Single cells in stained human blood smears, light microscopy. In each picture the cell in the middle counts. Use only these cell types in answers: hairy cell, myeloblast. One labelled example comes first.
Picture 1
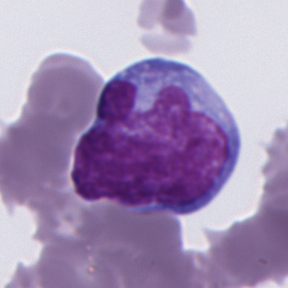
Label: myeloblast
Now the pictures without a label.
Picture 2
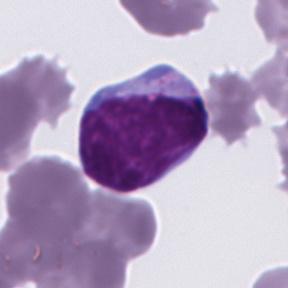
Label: myeloblast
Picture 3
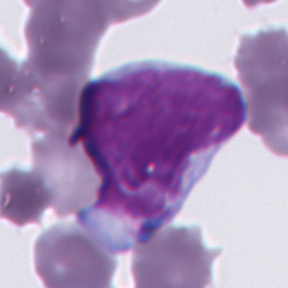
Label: myeloblast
